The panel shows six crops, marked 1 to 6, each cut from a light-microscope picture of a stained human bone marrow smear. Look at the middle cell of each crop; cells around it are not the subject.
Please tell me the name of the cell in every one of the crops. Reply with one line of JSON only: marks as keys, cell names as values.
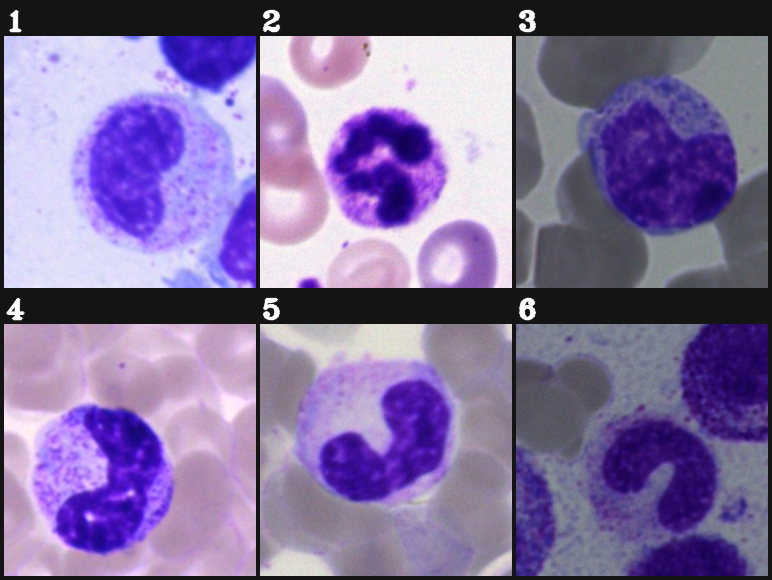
{"1": "metamyelocyte", "2": "segmented neutrophil", "3": "metamyelocyte", "4": "band neutrophil", "5": "band neutrophil", "6": "band neutrophil"}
